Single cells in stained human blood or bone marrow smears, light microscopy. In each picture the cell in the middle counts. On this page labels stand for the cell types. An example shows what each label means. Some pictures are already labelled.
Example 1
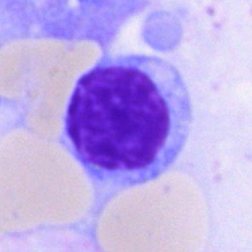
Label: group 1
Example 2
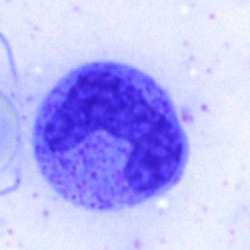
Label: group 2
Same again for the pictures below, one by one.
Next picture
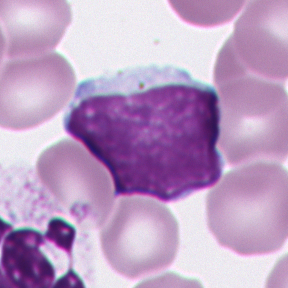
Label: group 1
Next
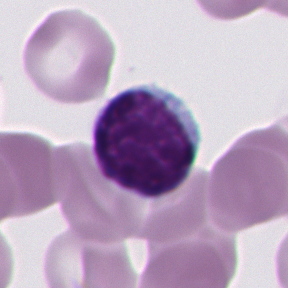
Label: group 1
